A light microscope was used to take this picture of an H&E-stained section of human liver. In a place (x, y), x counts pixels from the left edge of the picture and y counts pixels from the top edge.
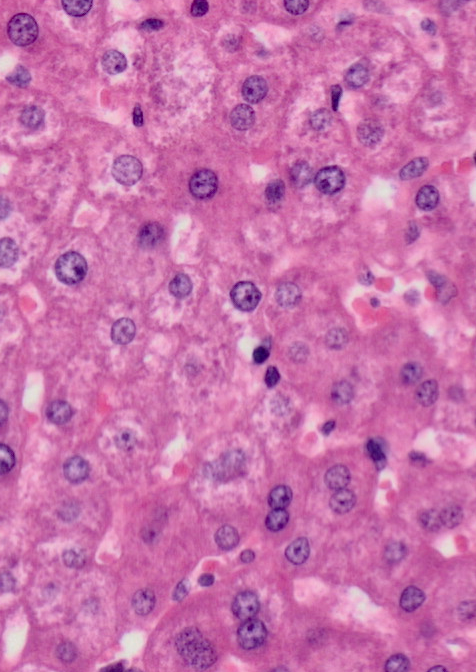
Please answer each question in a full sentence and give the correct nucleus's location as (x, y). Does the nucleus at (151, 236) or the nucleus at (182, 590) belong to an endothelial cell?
Only the nucleus at (182, 590), of the two, belongs to an endothelial cell.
